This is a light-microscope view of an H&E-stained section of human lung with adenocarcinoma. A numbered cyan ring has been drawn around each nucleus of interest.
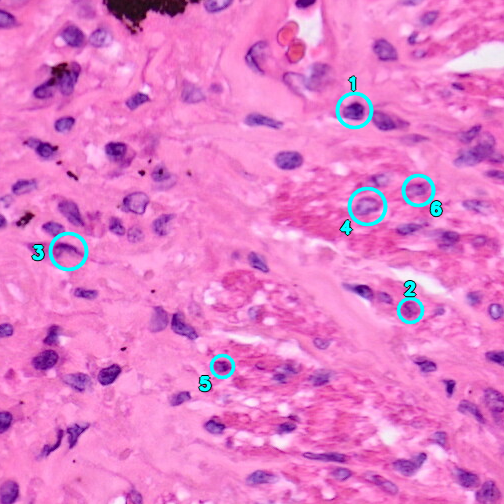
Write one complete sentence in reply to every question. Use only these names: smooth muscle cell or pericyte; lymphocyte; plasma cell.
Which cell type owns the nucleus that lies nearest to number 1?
The nearest nucleus to number 1 belongs to a plasma cell.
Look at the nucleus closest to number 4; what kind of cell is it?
Closest to number 4 lies the nucleus of a smooth muscle cell or pericyte.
